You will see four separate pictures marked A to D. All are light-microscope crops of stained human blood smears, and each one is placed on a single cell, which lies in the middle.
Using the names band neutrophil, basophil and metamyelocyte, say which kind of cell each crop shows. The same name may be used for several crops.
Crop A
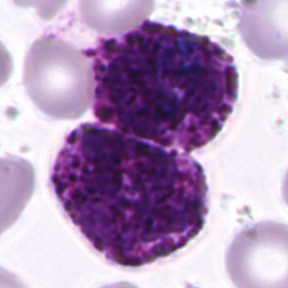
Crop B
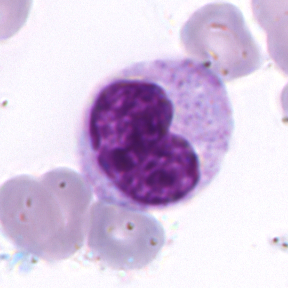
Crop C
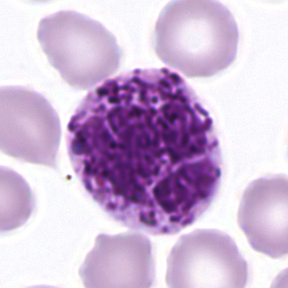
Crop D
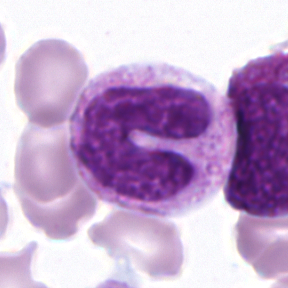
A: basophil
B: metamyelocyte
C: basophil
D: band neutrophil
